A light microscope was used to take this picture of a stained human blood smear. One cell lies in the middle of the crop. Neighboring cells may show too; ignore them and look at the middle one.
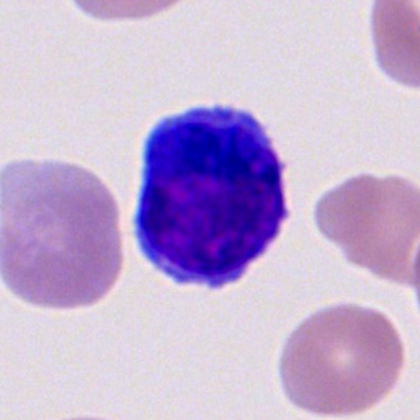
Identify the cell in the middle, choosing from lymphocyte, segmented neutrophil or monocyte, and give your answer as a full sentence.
To answer, the cell in the center of the crop is a lymphocyte.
